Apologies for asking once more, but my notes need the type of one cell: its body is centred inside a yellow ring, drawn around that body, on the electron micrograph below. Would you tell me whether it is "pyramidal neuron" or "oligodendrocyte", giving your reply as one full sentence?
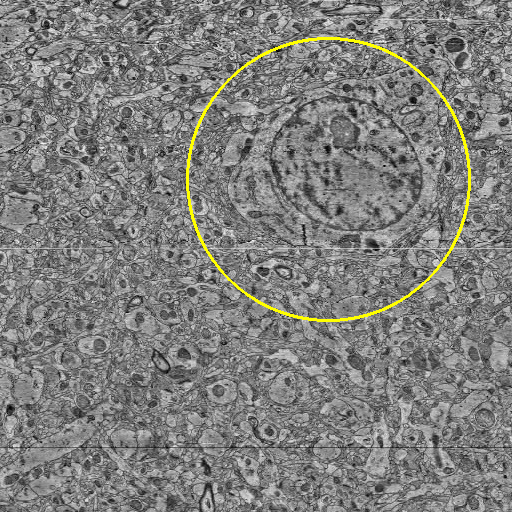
The cell that the yellow ring is centred on is a pyramidal neuron in this micrograph.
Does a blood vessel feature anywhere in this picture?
No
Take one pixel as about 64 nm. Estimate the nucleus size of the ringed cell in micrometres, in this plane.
Approximately 9 micrometres across, in this plane.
